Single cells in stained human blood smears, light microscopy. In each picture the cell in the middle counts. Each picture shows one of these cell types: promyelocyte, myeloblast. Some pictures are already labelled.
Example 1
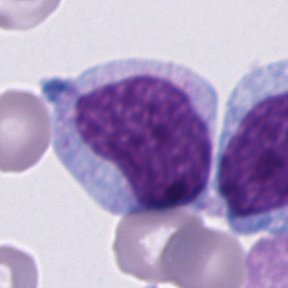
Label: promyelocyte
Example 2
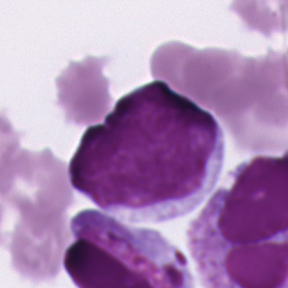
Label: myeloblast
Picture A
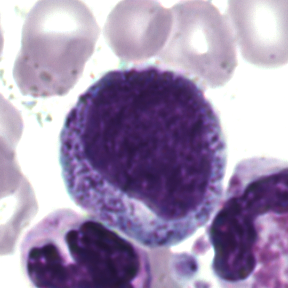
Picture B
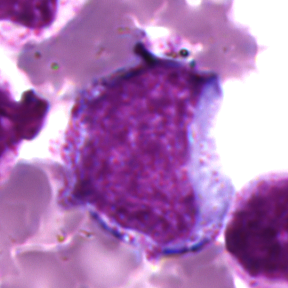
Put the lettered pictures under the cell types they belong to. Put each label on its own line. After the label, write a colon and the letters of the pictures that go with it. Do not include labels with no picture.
promyelocyte: A, B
